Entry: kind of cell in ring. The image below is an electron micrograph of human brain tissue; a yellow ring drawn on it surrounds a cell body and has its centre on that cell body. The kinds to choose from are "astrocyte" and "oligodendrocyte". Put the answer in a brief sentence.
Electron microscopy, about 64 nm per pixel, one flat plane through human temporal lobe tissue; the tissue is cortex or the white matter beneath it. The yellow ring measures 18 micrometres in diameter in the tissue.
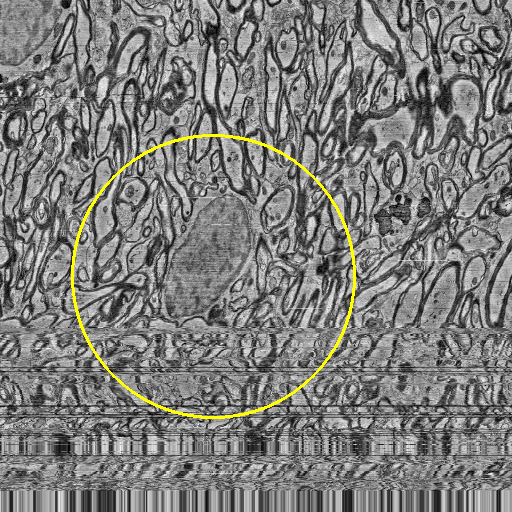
The ring has been drawn around an oligodendrocyte.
